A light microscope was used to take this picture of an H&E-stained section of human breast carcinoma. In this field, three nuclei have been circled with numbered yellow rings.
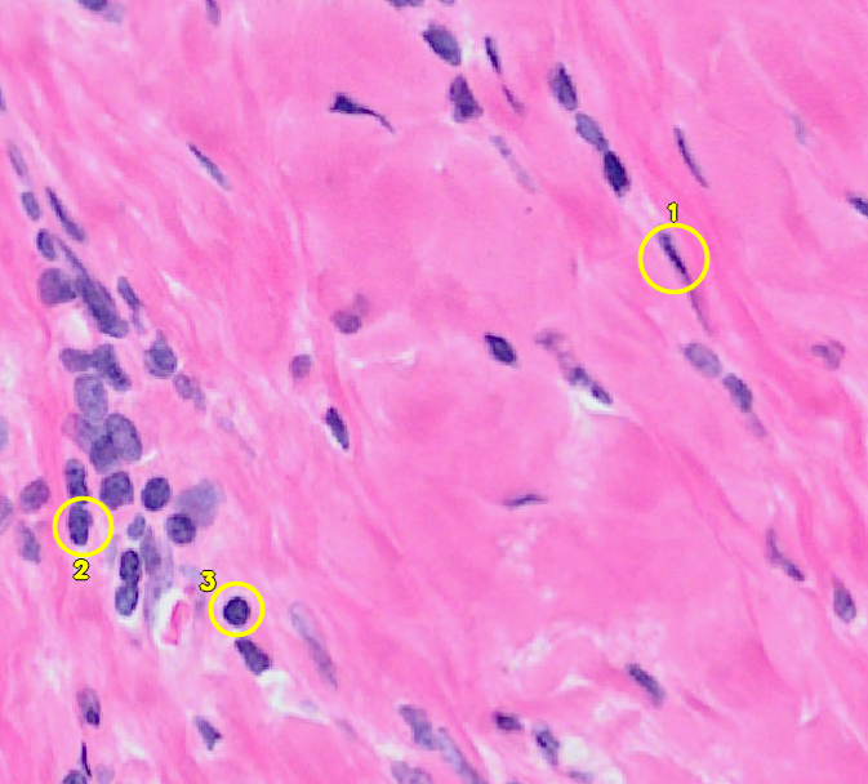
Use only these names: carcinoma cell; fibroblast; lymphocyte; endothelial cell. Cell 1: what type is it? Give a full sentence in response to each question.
The expected answer is that cell 1 is a fibroblast.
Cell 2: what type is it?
The cell bearing label 2 corresponds to a lymphocyte.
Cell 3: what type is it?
The numbered cell 3 in this field is a lymphocyte.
